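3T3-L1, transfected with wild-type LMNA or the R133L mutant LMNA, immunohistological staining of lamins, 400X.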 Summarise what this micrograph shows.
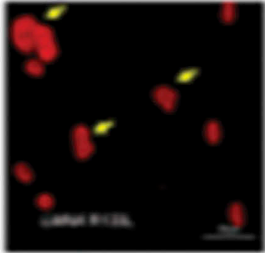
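Cultured pre-adipocytes are shown as red-stained nuclei scattered on a dark background. Most nuclei are small, regular ovals, but several marked by arrows are irregular in shape, and at the upper left a group of rounded nuclear lobes lies clustered together.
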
